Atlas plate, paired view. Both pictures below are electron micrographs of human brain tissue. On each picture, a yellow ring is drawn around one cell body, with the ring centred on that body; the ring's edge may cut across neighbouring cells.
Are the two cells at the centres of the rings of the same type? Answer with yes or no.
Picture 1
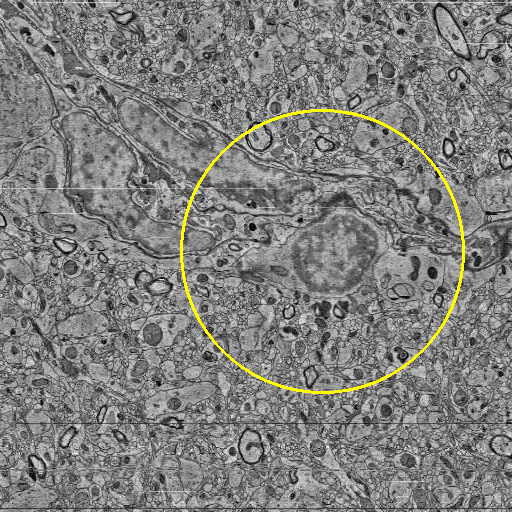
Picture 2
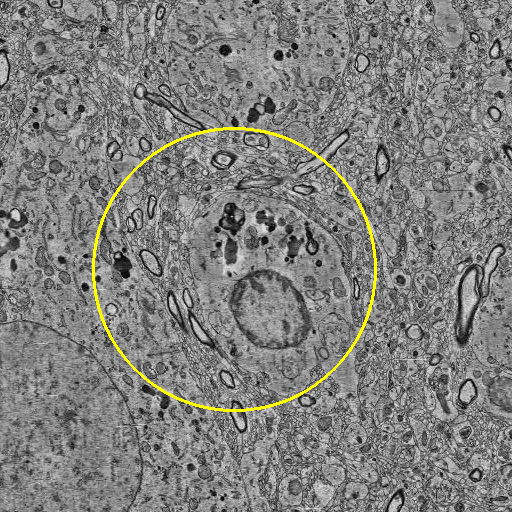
no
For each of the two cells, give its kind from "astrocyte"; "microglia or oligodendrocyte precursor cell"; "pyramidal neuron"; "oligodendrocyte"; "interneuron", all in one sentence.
The first picture has an oligodendrocyte in its ring, the second has an astrocyte.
